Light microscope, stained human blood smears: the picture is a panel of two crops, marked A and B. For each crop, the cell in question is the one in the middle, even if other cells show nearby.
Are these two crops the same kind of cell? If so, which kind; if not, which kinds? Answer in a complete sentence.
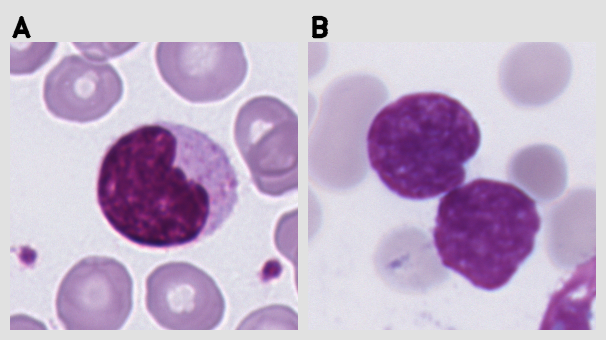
No, crop A represents a large granular lymphocyte, and crop B represents a myeloblast.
